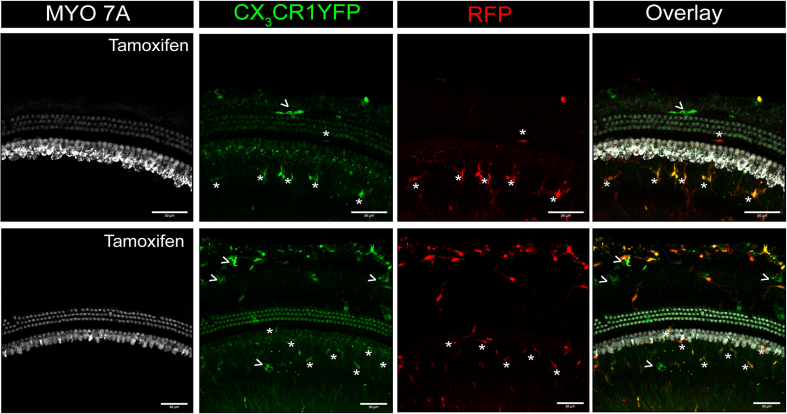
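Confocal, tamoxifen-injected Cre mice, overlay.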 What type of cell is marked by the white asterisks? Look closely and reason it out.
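Resident macrophages. The marked cells are branched, with thin processes. They lie in a row beneath the rows of hair cells.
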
